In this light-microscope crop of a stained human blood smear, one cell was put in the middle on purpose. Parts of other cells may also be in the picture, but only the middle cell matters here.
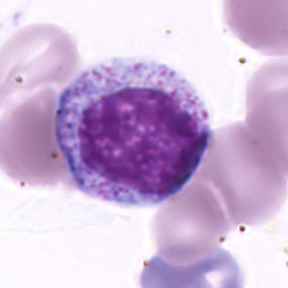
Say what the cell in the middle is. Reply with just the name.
myelocyte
